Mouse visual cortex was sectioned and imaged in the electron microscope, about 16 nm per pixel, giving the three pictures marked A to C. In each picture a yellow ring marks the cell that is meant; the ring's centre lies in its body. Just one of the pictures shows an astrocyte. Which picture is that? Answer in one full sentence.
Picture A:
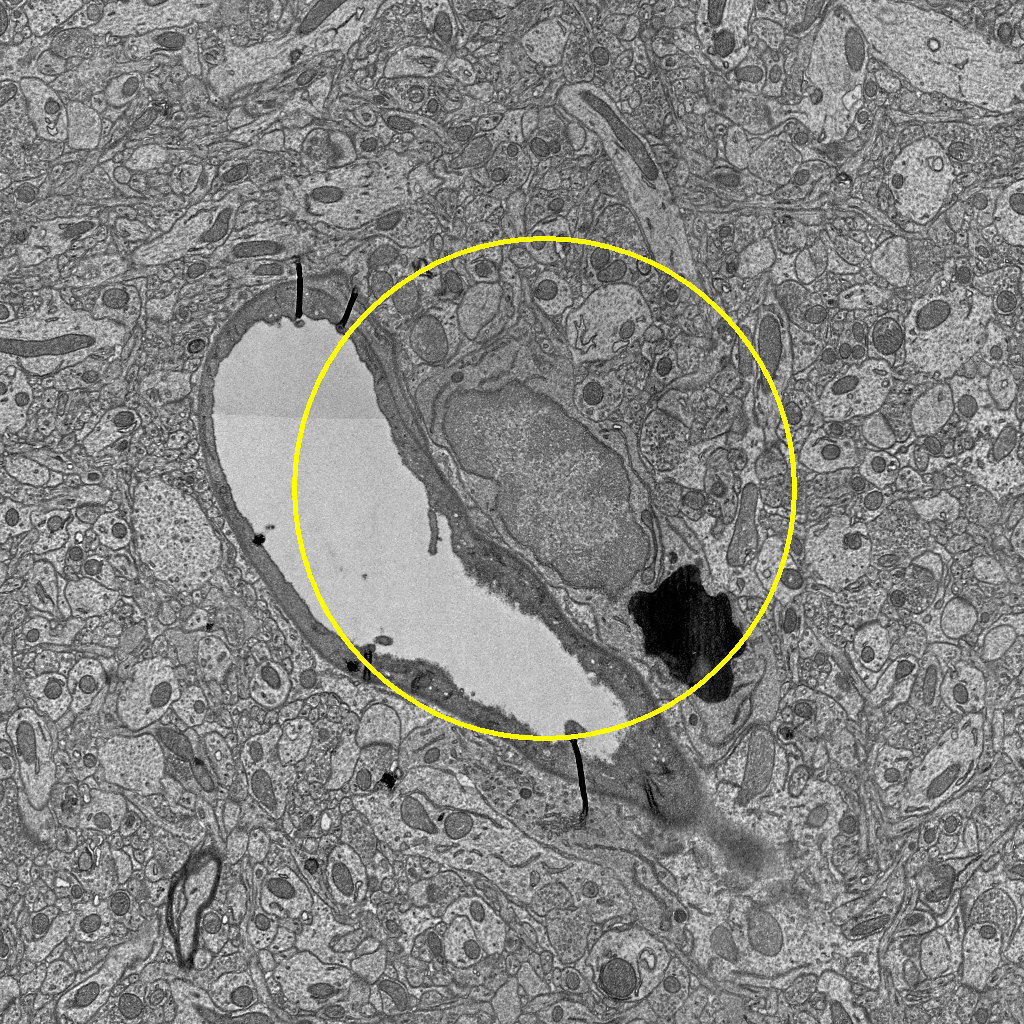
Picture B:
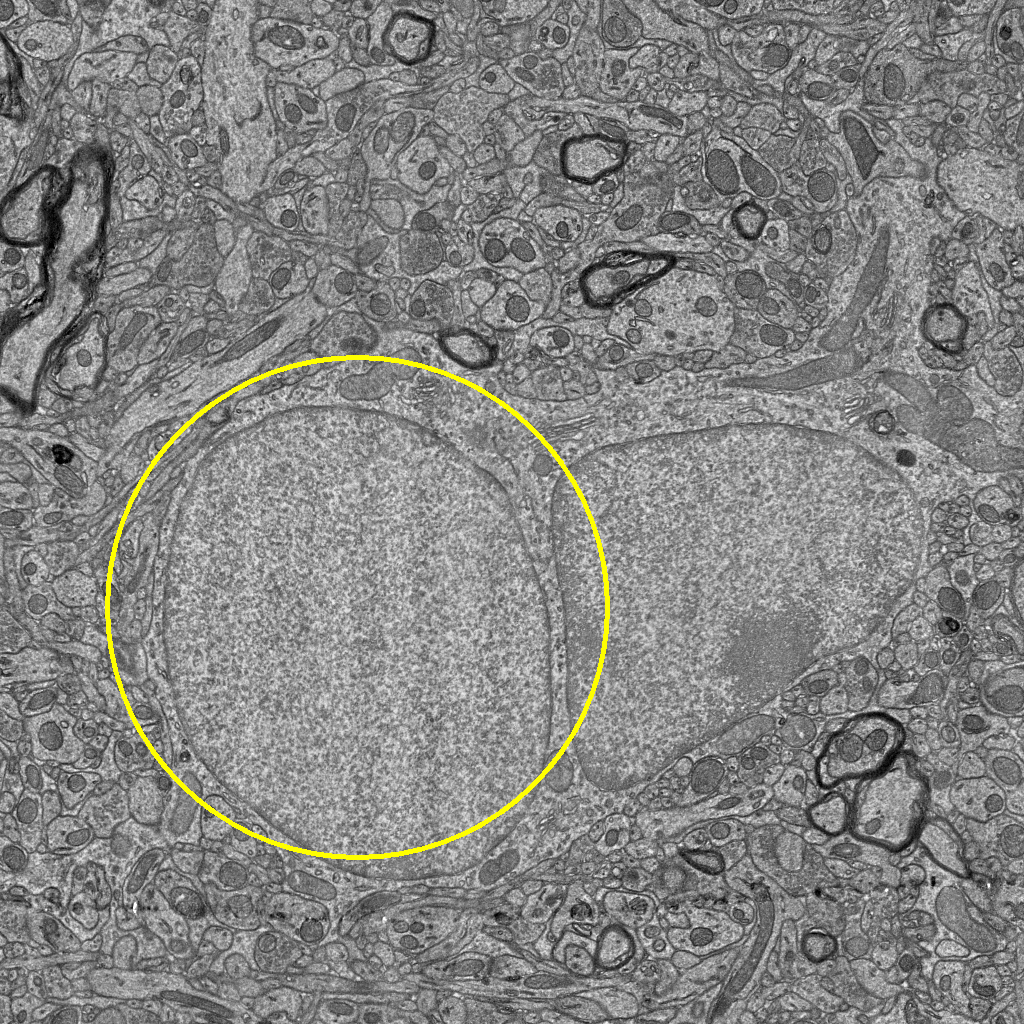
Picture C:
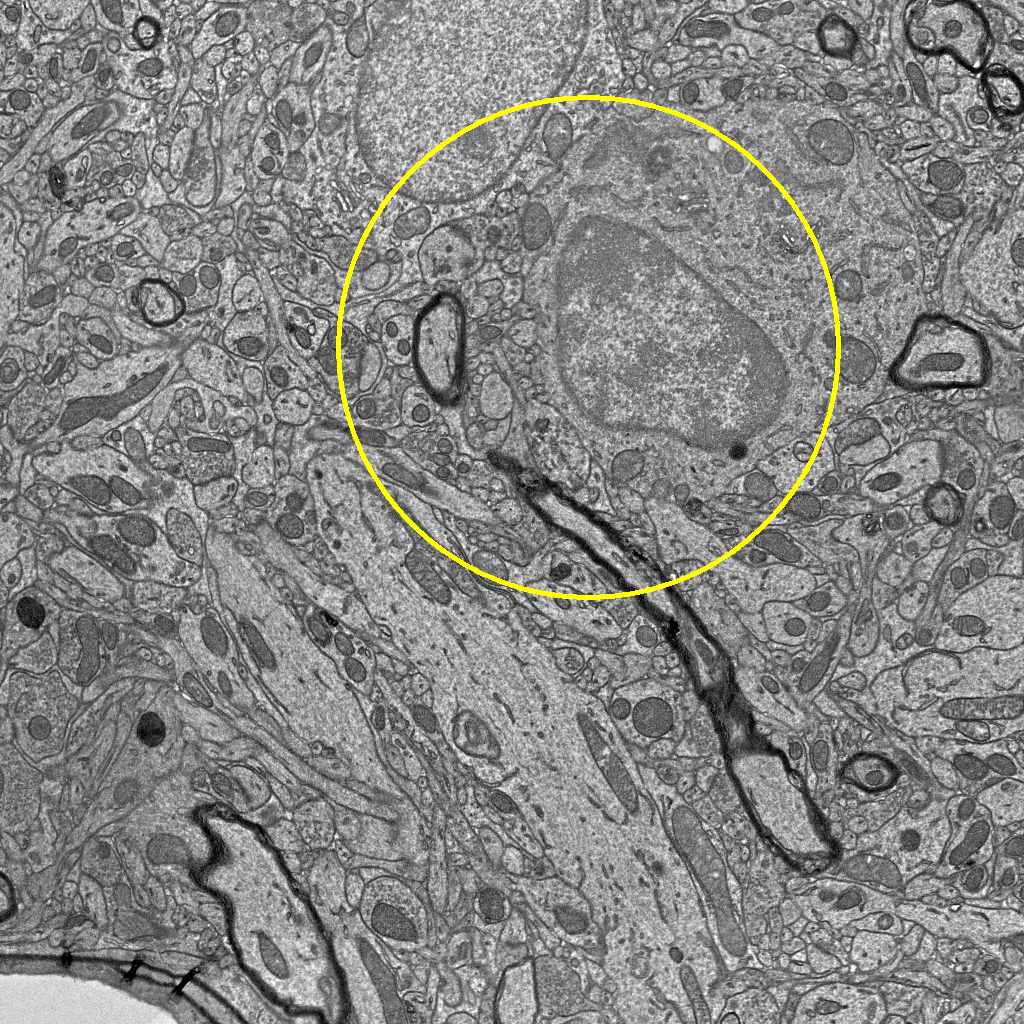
The cell in picture B is the astrocyte.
